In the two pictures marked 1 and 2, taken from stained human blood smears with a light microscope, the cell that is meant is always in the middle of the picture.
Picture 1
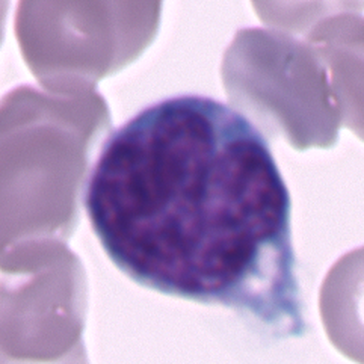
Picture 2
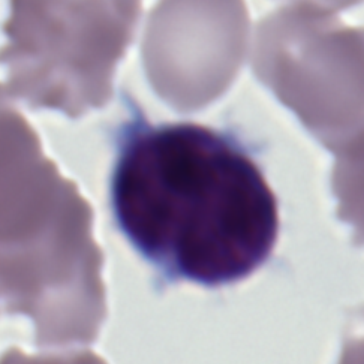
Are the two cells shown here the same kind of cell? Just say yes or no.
no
